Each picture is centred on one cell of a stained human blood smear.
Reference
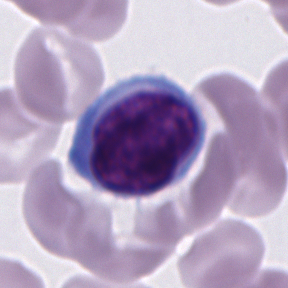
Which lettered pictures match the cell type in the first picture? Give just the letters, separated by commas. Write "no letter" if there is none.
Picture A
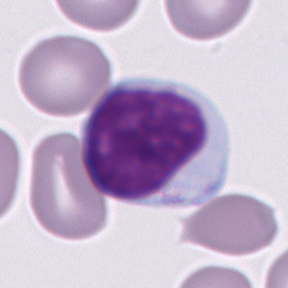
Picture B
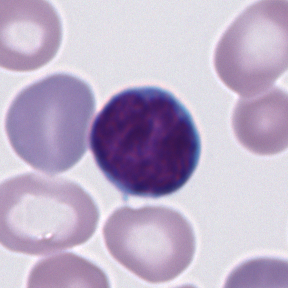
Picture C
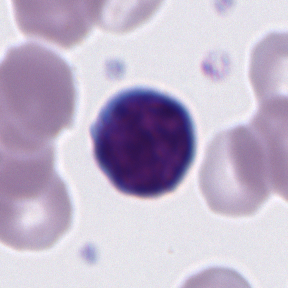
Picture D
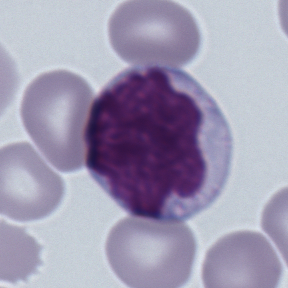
B, C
